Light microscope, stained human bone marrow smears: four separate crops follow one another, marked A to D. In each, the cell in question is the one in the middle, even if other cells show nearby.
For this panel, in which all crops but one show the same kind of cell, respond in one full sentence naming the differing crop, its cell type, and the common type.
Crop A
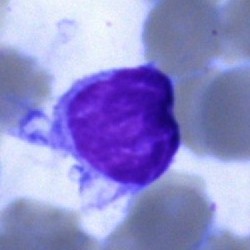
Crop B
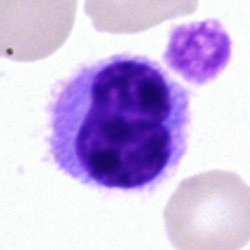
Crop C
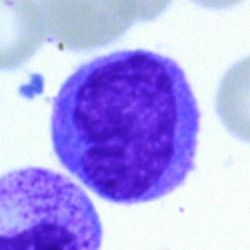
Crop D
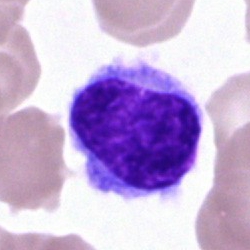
The outlier here is crop C, which is a monocyte, while the remainder show hairy cells.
